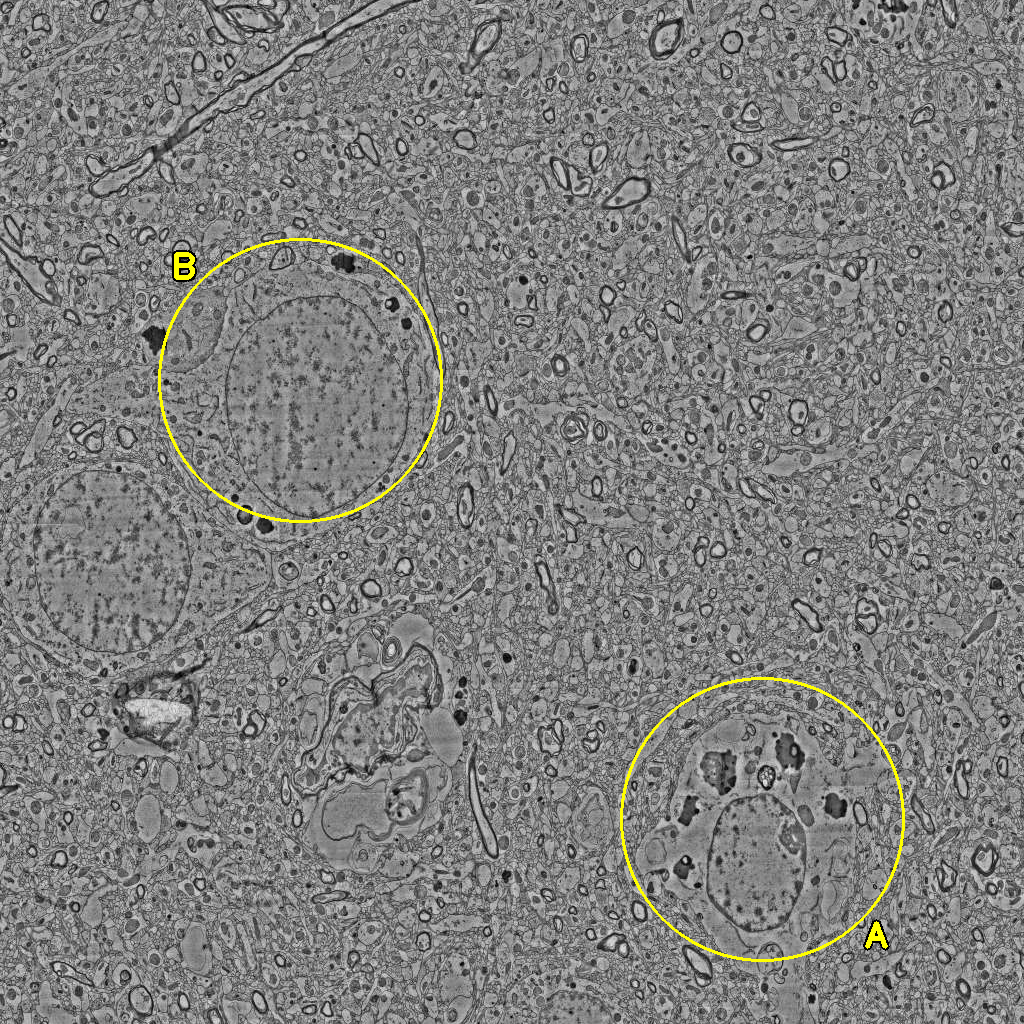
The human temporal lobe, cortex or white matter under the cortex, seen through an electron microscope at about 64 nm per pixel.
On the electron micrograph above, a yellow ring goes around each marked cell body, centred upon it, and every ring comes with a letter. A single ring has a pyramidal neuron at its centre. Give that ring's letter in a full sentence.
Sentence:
The ring holding the cell asked for at its centre bears the letter B.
